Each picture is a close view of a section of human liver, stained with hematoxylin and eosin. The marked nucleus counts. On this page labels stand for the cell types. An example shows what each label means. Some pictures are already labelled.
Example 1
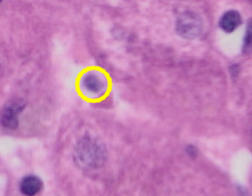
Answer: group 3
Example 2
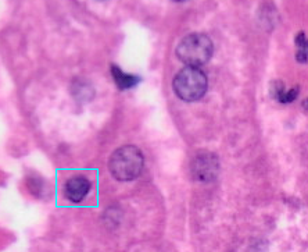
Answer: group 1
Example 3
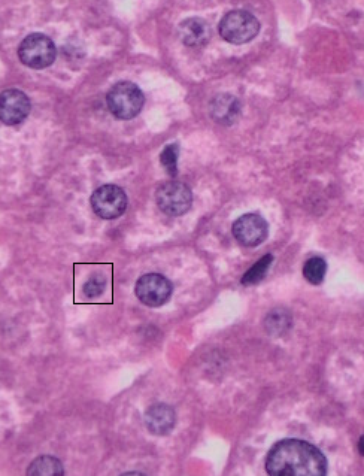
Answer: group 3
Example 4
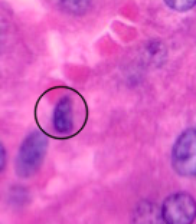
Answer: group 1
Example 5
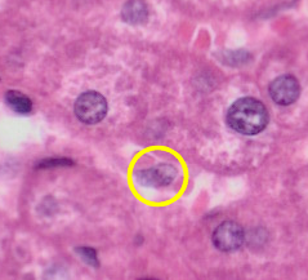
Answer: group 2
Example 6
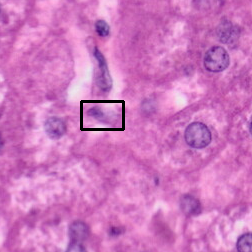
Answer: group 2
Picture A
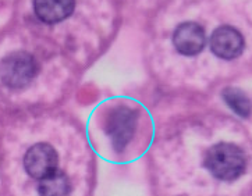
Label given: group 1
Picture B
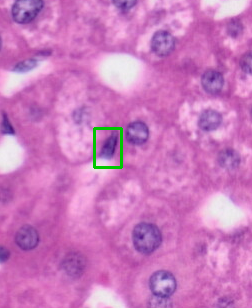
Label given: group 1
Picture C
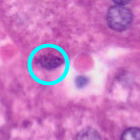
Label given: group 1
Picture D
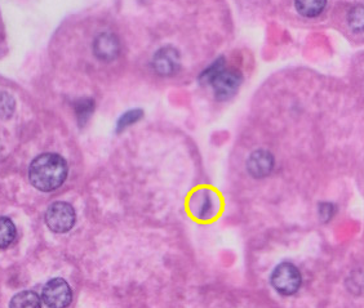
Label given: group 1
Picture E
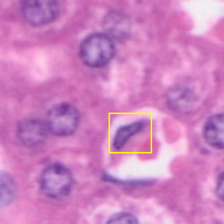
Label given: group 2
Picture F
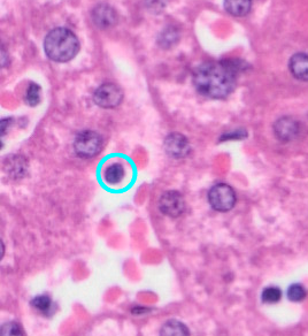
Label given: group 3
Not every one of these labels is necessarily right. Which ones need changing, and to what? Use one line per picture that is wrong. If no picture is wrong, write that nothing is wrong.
A should be group 2, not group 1
D should be group 2, not group 1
